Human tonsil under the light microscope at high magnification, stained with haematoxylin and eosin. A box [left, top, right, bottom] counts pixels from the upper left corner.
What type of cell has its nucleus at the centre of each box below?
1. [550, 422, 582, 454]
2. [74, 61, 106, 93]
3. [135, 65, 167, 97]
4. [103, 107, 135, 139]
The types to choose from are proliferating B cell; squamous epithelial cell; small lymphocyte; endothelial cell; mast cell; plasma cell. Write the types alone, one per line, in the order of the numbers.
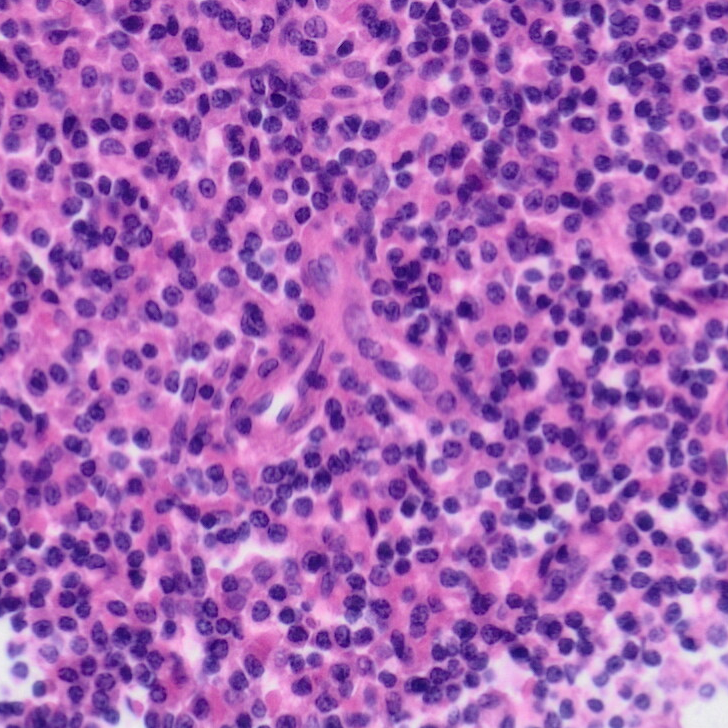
small lymphocyte
plasma cell
plasma cell
plasma cell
